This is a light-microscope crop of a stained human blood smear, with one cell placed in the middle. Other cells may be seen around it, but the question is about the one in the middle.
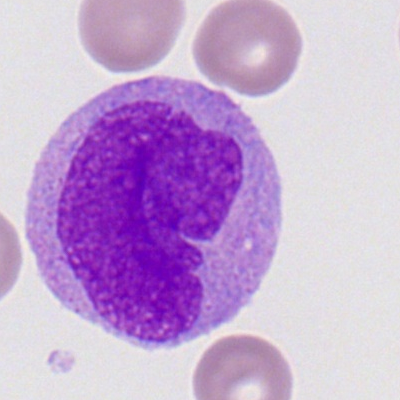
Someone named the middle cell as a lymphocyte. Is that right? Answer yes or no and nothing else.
no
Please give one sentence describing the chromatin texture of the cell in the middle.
The chromatin is fine; coarse clumps are not a feature here.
